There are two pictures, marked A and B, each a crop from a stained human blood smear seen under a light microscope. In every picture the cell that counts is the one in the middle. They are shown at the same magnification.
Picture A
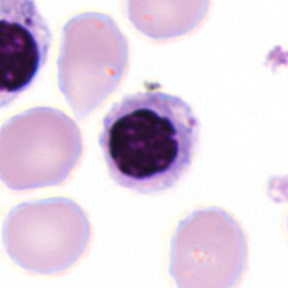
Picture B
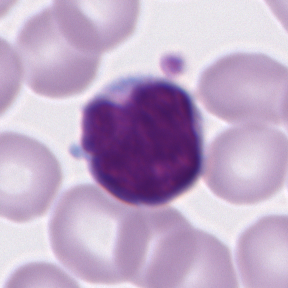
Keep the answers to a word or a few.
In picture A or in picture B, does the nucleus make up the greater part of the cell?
B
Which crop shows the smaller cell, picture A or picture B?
A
